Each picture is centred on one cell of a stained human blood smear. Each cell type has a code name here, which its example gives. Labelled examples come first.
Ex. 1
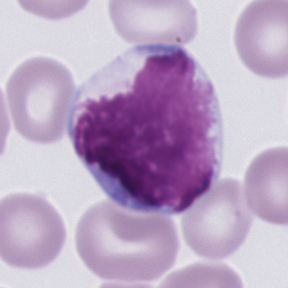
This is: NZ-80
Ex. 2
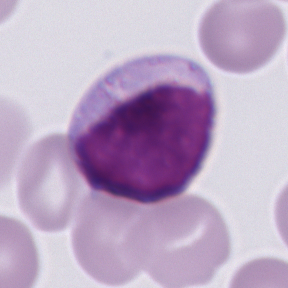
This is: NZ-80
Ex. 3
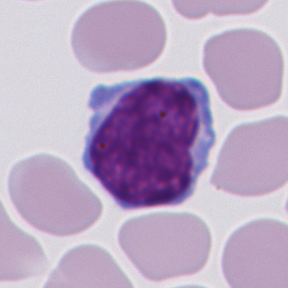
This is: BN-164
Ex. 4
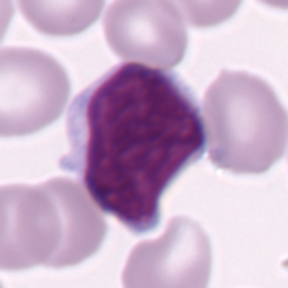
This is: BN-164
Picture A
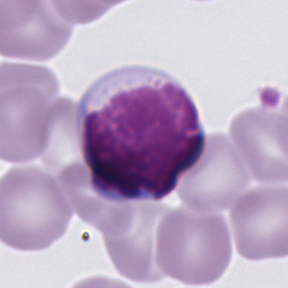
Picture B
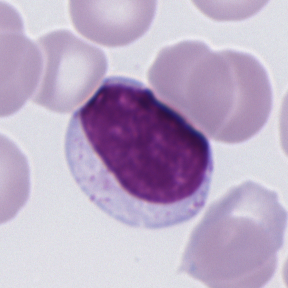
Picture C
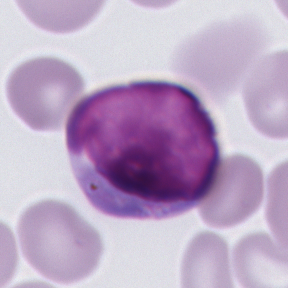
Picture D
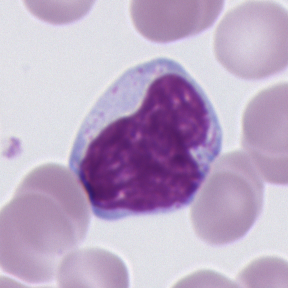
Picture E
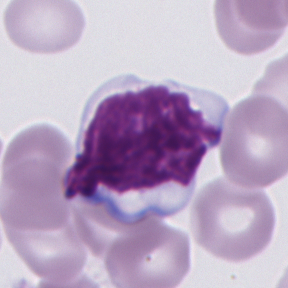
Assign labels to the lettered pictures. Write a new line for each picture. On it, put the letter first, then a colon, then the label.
A: NZ-80
B: NZ-80
C: NZ-80
D: NZ-80
E: NZ-80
